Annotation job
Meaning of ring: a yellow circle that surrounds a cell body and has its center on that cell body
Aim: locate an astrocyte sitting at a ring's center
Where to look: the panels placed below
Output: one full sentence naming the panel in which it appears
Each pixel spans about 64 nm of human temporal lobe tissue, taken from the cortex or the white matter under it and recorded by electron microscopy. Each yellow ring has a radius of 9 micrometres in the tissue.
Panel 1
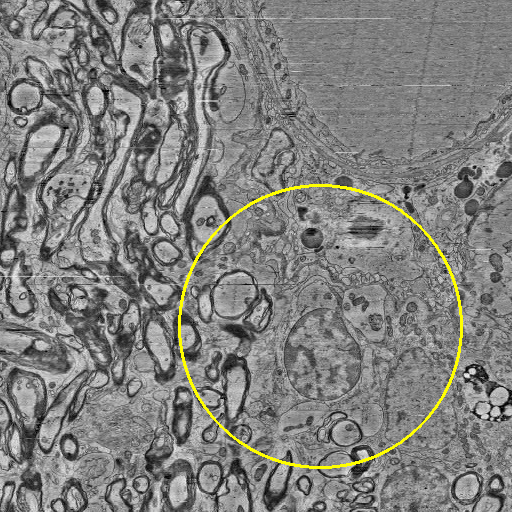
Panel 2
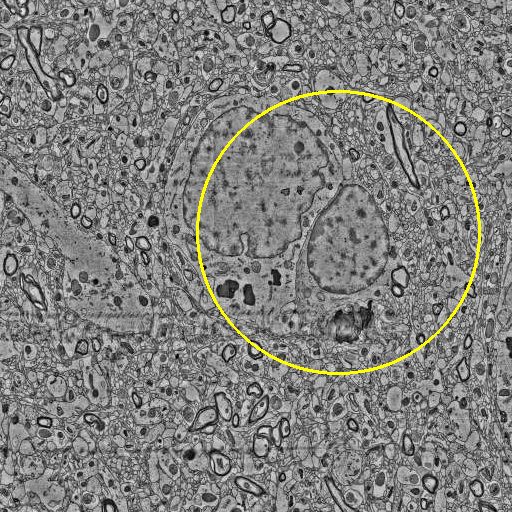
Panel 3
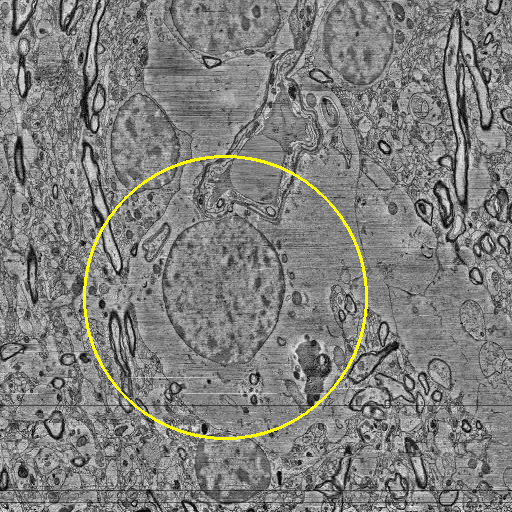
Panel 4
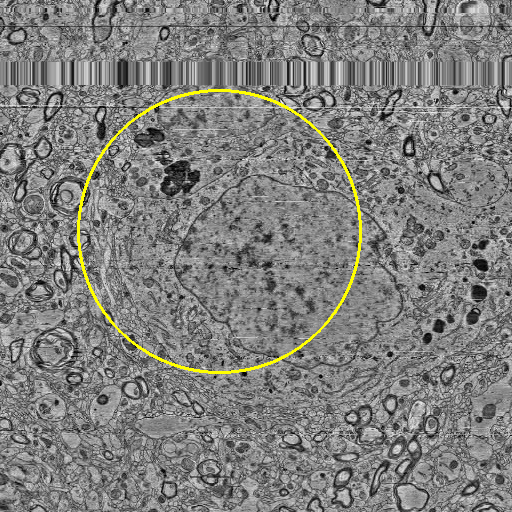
The cell at the center of the ring in panel 3 is the one sought.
